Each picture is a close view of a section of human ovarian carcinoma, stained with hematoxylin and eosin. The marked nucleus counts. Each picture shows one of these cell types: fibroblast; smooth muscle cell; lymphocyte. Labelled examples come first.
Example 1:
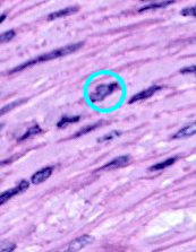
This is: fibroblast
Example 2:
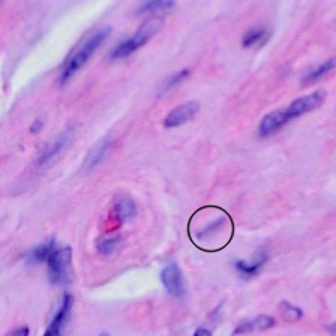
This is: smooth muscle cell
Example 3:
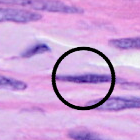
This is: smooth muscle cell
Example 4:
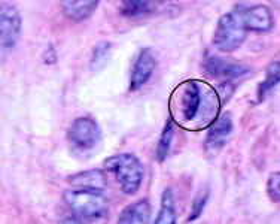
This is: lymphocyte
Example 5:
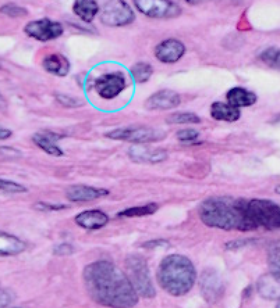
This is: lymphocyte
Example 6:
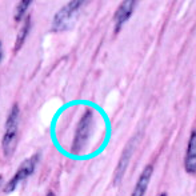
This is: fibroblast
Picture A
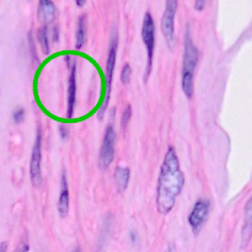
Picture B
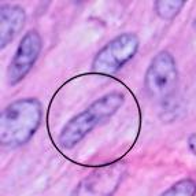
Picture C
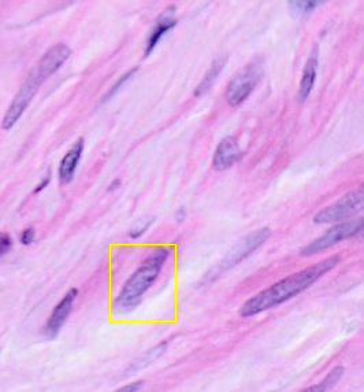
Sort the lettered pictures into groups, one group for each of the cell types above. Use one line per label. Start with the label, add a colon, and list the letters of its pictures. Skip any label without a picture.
fibroblast: B
smooth muscle cell: A, C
